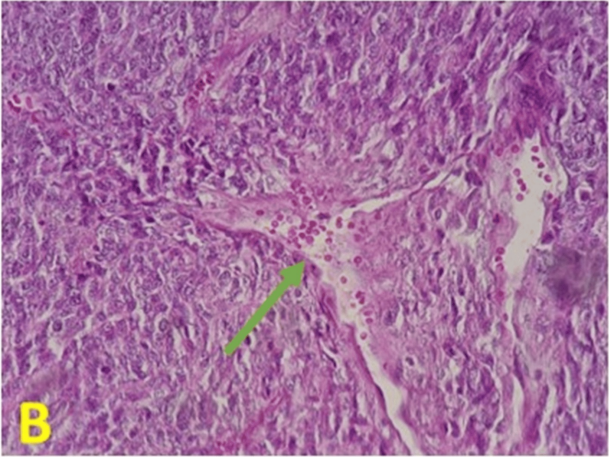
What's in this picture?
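A densely cellular tumor is crossed by a thin-walled, branching vascular channel with a staghorn-like course. The tumor cells are packed closely around the vessel and have ovoid to elongated, dark purple nuclei with scant, poorly defined pink cytoplasm. The vessel lumen contains scattered red blood cells and is lined by a thin wall with little surrounding stroma.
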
